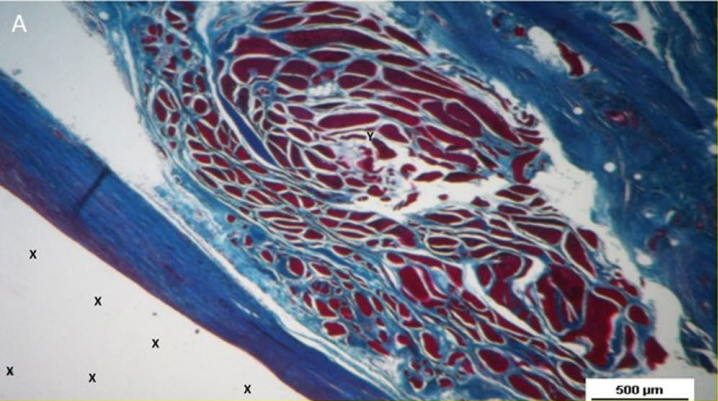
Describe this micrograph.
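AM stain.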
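This is skeletal muscle tissue in bundles, with the muscle fibres stained red and the surrounding connective tissue stained blue. The red fibres are cut mostly in cross-section and appear as polygonal to oval profiles of varying size. More blue connective tissue with small spaces lies along the upper right.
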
